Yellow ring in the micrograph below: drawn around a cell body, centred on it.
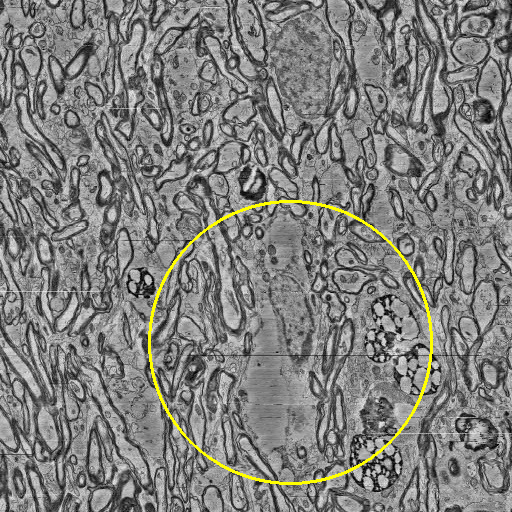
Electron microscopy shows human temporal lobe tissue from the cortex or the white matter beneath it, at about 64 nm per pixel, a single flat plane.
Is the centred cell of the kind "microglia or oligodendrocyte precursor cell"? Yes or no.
no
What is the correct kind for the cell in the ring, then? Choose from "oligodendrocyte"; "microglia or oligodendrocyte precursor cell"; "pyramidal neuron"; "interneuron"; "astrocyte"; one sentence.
Instead, the picture shows an astrocyte at the centre of the ring.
